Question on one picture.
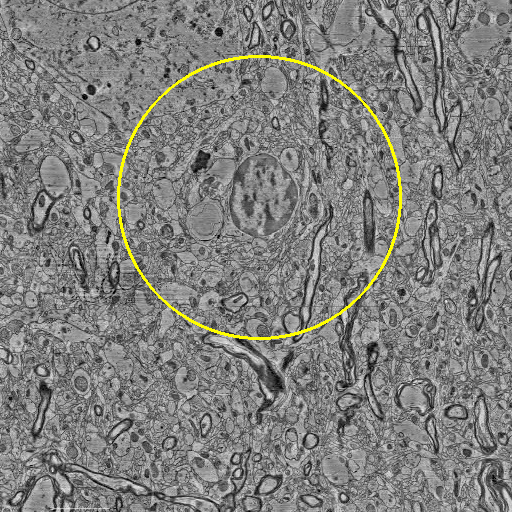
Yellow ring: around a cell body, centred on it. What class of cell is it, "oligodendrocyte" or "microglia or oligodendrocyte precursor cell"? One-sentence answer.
This is a microglial cell or oligodendrocyte precursor cell, the cell the ring is centred on.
